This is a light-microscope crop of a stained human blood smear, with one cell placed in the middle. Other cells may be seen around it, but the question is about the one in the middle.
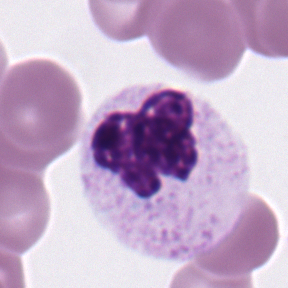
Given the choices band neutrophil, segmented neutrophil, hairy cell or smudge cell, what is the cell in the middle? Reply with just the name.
segmented neutrophil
